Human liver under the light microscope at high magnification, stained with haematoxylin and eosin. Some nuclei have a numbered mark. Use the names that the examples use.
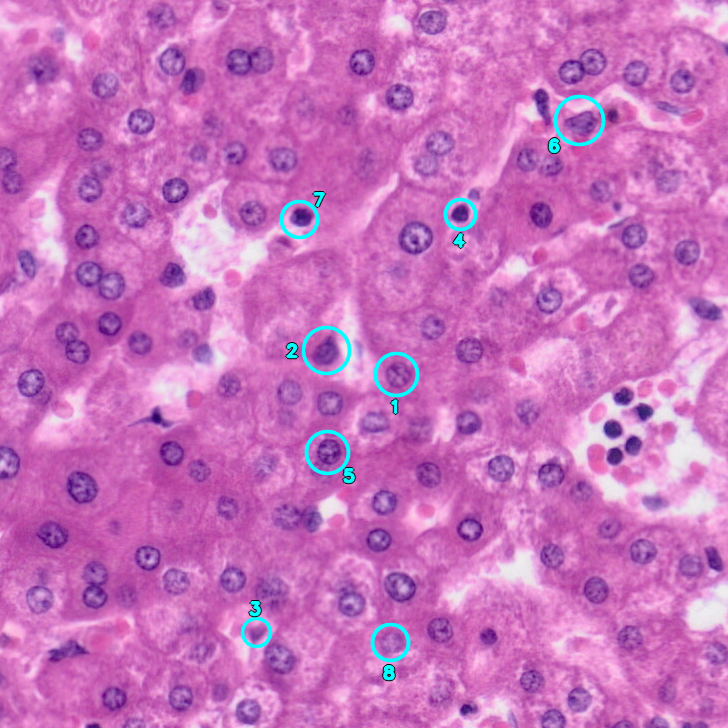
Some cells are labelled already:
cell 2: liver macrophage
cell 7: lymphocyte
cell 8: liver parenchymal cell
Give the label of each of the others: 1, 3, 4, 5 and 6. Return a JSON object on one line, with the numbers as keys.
{"1": "liver parenchymal cell", "3": "liver macrophage", "4": "lymphocyte", "5": "liver parenchymal cell", "6": "liver macrophage"}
